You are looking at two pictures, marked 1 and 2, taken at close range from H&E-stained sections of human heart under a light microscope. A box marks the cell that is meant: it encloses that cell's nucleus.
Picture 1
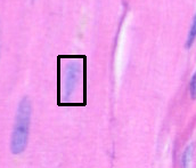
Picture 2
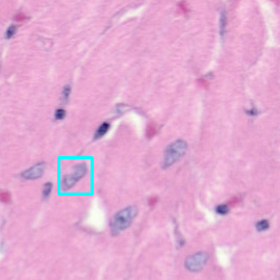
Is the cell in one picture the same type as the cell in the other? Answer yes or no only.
yes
